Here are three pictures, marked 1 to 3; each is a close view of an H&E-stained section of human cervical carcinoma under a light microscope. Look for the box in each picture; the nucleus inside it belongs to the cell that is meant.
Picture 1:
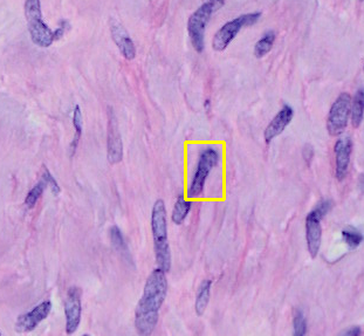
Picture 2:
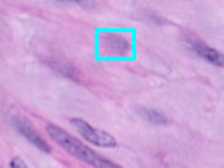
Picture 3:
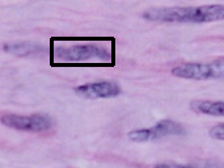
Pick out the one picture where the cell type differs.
1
